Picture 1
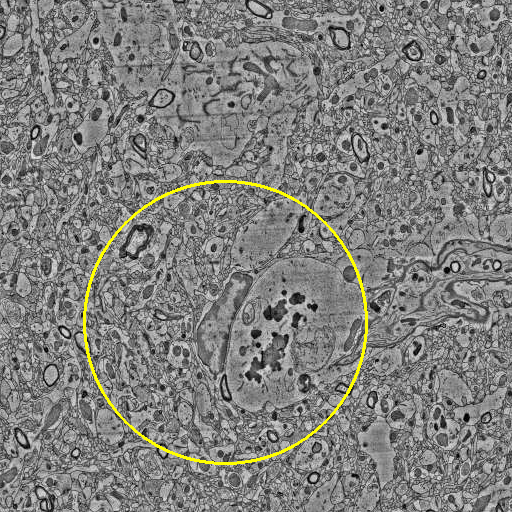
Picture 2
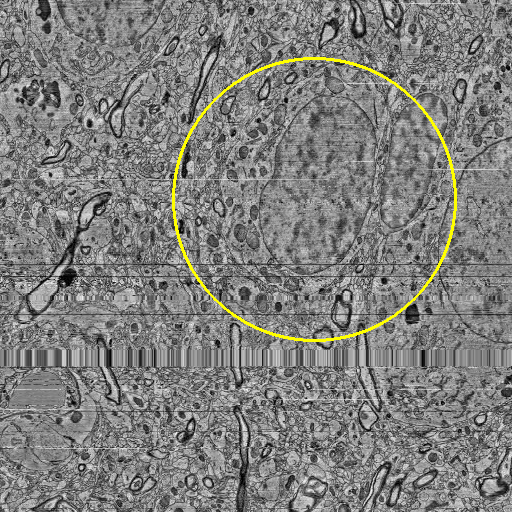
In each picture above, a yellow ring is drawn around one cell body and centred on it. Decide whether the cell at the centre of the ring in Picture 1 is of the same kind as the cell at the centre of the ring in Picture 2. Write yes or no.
no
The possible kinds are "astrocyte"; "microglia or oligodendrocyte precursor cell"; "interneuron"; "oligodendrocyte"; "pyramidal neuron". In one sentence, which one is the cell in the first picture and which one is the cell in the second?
The cell ringed in the second picture is an interneuron, whereas the one ringed in the first is a microglial cell or oligodendrocyte precursor cell.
